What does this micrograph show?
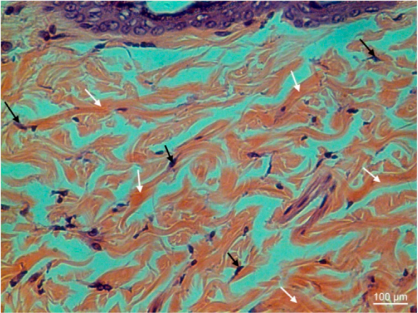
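Normal skin with a thin layer of epithelium along the top edge over dermis filled with thick, wavy, orange-stained collagen bundles separated by pale turquoise clefts. Sparse slender fibroblasts with elongated dark nuclei lie singly between the bundles, and few other cells are present.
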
